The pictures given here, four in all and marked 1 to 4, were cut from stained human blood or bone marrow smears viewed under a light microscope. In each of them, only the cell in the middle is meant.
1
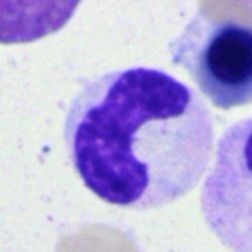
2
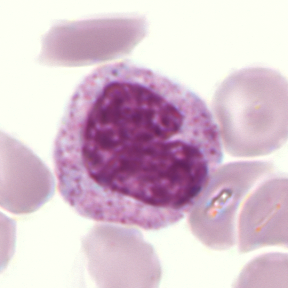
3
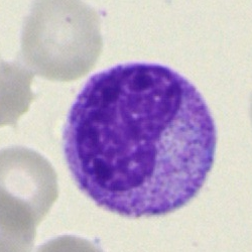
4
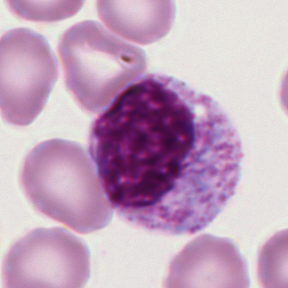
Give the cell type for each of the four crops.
1: band neutrophil
2: band neutrophil
3: metamyelocyte
4: metamyelocyte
